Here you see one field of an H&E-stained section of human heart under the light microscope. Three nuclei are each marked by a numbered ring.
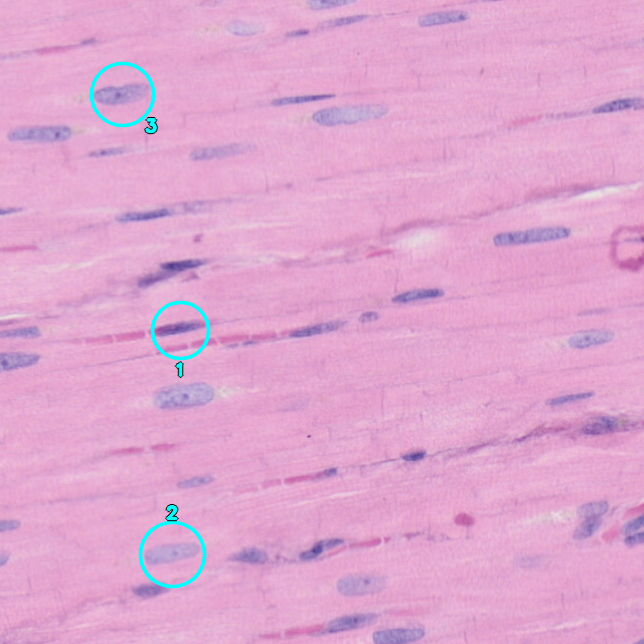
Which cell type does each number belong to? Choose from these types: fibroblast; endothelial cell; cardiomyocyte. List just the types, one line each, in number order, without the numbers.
endothelial cell
cardiomyocyte
cardiomyocyte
